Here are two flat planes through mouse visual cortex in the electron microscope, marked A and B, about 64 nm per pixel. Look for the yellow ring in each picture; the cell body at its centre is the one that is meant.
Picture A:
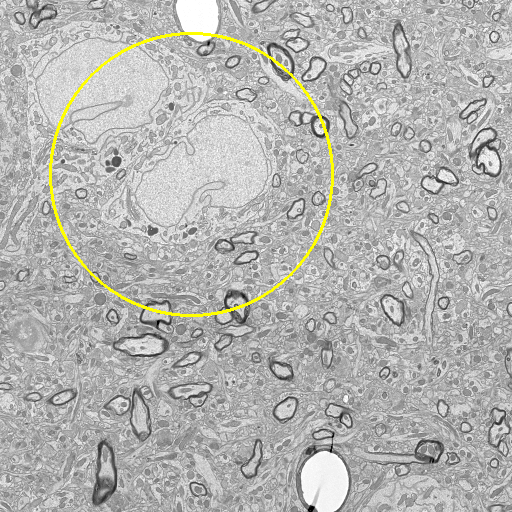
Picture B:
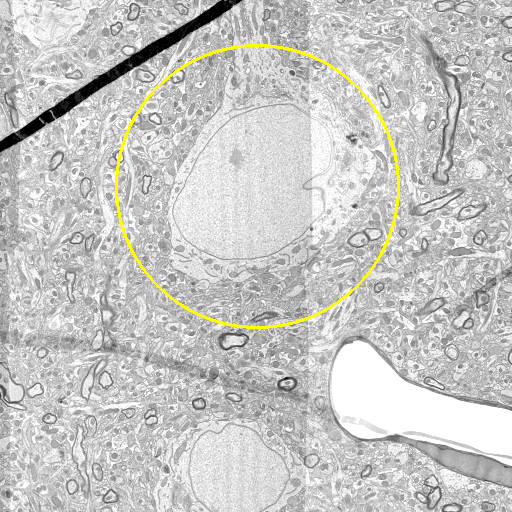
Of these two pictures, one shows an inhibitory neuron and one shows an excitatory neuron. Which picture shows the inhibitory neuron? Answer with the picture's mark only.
A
